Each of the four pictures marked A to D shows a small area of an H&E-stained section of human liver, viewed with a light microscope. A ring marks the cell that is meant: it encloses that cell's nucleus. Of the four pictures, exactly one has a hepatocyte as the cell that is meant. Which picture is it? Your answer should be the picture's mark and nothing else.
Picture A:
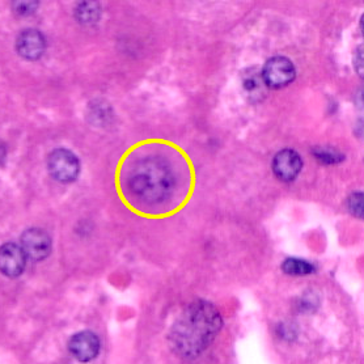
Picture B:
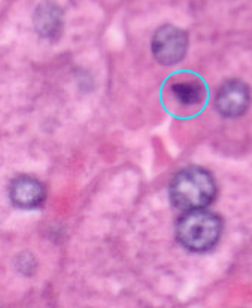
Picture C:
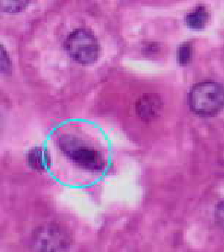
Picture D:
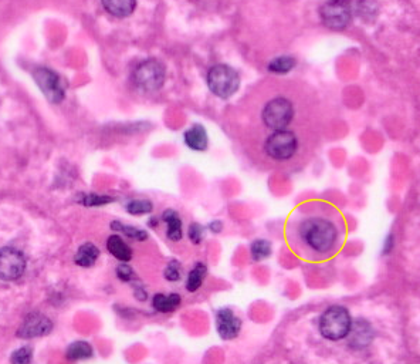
A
